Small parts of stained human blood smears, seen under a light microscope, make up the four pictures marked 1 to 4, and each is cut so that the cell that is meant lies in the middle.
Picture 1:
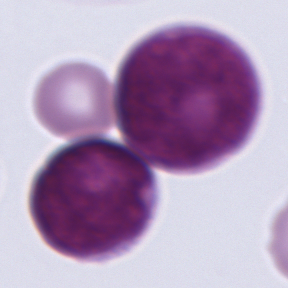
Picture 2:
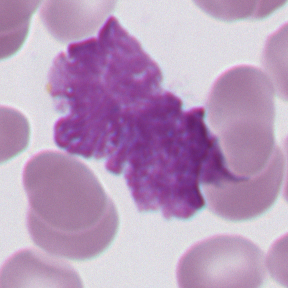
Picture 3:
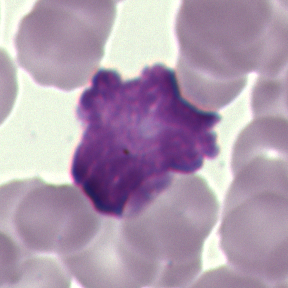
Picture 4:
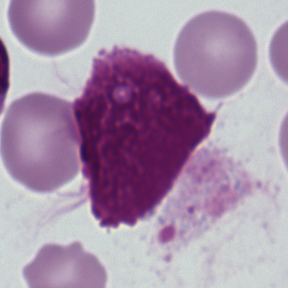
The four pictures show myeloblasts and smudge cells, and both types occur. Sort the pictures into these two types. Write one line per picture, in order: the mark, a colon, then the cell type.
1: myeloblast
2: smudge cell
3: smudge cell
4: smudge cell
